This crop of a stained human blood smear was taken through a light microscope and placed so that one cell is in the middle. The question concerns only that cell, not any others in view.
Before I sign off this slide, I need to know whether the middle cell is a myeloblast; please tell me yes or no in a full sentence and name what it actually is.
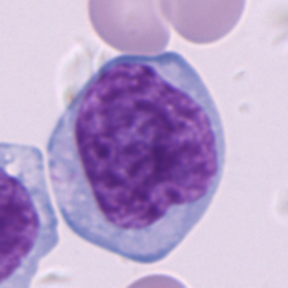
Yes, at the centre of the crop lies a myeloblast.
